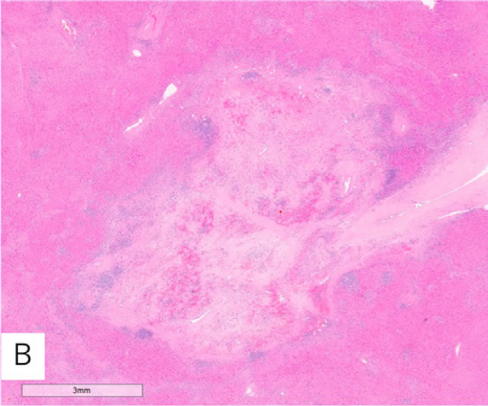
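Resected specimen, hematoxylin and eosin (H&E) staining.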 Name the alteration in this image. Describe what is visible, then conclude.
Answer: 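Fibrosis. The pale area has a loose, streaky fibrous texture.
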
